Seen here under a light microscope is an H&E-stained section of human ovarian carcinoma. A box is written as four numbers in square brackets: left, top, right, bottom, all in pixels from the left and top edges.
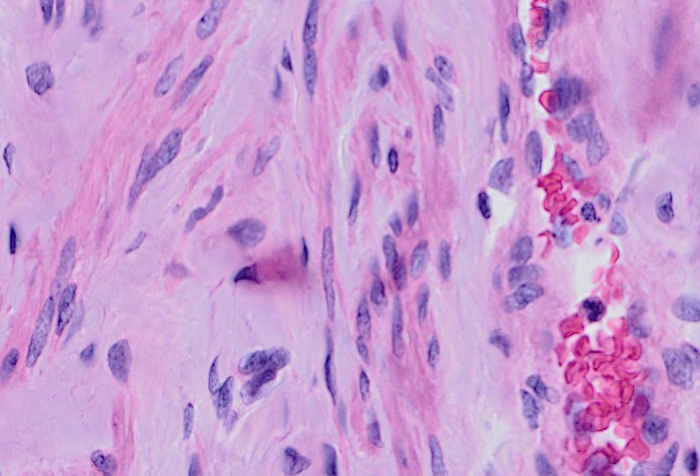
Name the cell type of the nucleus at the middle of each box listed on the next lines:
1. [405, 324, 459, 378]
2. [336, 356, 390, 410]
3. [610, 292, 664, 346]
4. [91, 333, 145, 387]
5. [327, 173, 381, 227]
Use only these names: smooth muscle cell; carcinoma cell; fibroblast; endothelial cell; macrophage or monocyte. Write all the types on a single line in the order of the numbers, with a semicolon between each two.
smooth muscle cell; smooth muscle cell; endothelial cell; fibroblast; smooth muscle cell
